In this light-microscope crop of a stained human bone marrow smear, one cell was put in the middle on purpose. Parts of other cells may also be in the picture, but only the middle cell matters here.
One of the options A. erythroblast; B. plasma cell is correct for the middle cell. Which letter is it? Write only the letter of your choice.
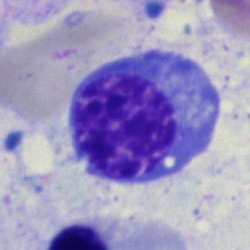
A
